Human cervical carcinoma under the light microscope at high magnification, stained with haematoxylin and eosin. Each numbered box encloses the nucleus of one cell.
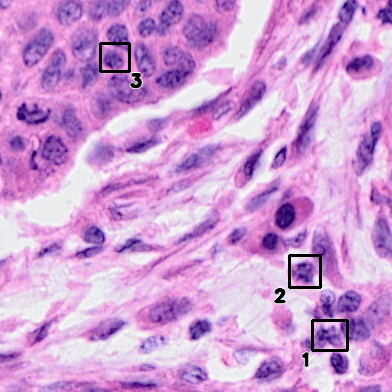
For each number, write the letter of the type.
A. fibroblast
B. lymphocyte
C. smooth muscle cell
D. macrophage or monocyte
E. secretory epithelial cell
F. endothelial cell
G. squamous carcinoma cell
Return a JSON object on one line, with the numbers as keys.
{"1": "B", "2": "B", "3": "G"}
